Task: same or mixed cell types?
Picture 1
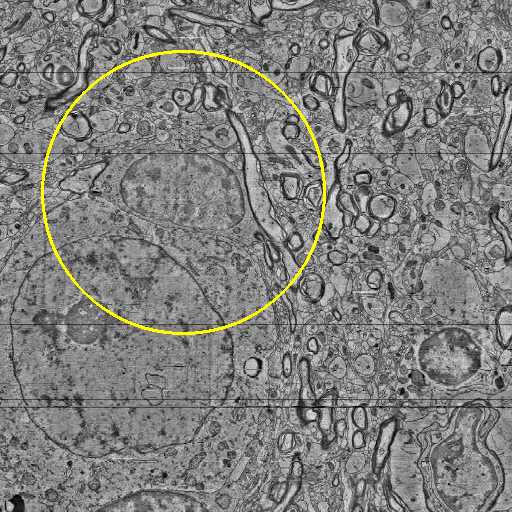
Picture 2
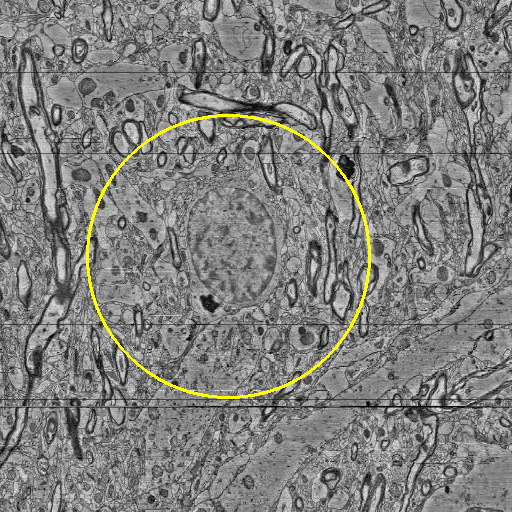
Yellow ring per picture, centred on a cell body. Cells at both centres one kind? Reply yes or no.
yes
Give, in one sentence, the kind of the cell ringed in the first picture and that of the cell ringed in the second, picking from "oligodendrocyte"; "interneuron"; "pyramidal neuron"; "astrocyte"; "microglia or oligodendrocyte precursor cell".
Each of the two rings surrounds an oligodendrocyte.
